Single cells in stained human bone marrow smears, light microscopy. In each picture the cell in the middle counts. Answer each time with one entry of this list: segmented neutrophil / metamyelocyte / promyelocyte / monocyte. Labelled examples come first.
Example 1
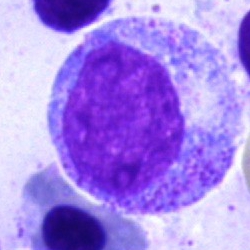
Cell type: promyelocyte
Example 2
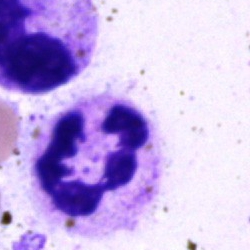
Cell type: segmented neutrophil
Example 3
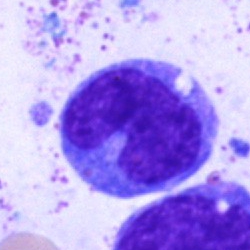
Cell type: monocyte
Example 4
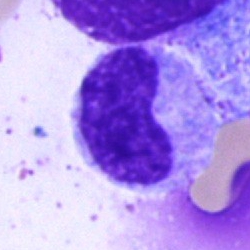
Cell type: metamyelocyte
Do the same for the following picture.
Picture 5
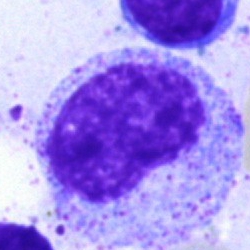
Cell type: metamyelocyte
